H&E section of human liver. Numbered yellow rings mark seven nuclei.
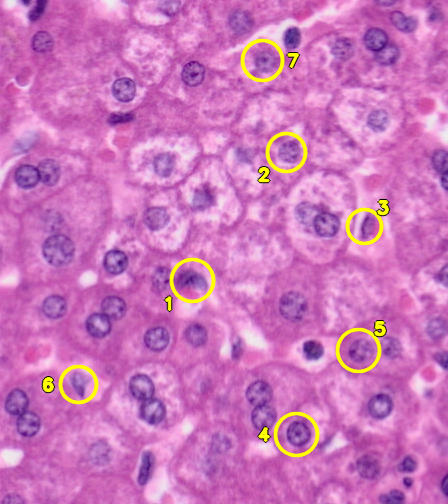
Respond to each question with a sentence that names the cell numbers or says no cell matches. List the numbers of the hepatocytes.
Cells numbered 2, 4, 5 and 7 belong to the group of hepatocytes.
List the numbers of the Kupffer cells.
Cell 3 is a Kupffer cell, and that holds for no other numbered cell.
